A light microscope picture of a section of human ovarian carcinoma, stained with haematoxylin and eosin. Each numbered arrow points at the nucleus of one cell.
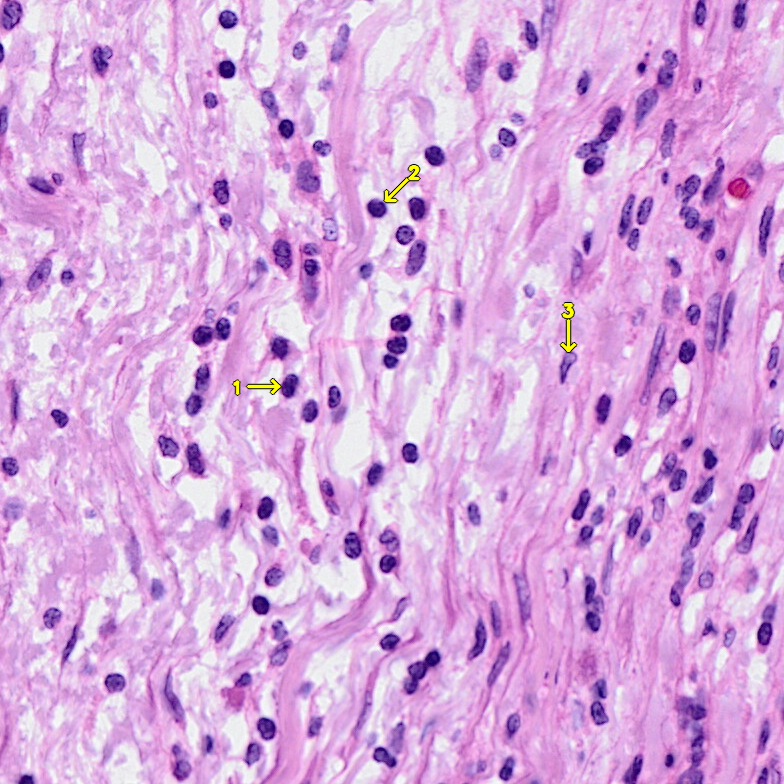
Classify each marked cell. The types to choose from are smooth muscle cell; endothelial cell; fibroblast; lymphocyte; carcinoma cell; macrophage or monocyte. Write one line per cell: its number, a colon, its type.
1: lymphocyte
2: lymphocyte
3: macrophage or monocyte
